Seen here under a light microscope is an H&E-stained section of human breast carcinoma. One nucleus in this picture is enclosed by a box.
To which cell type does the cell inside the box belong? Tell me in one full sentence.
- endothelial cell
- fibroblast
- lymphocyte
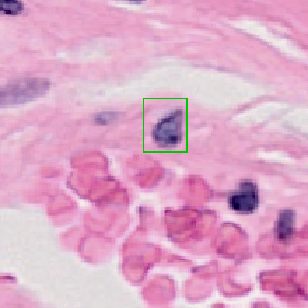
Within this tissue, the cell inside the box is an endothelial cell.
